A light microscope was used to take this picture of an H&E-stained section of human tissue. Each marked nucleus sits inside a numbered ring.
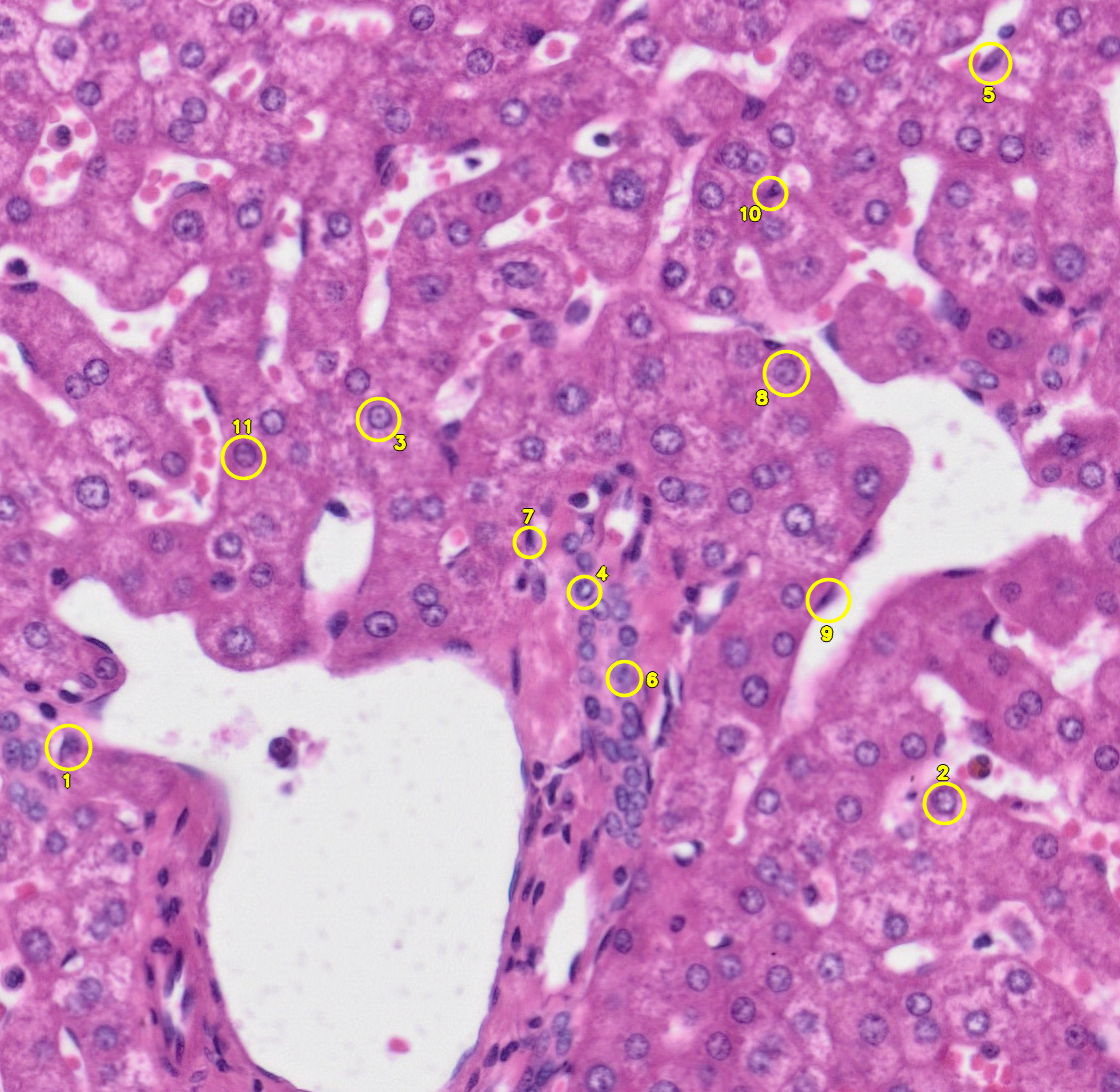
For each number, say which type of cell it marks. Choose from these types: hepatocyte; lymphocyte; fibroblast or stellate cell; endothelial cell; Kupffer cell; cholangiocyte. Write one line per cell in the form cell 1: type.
cell 1: fibroblast or stellate cell
cell 2: hepatocyte
cell 3: hepatocyte
cell 4: cholangiocyte
cell 5: Kupffer cell
cell 6: cholangiocyte
cell 7: fibroblast or stellate cell
cell 8: hepatocyte
cell 9: fibroblast or stellate cell
cell 10: fibroblast or stellate cell
cell 11: hepatocyte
